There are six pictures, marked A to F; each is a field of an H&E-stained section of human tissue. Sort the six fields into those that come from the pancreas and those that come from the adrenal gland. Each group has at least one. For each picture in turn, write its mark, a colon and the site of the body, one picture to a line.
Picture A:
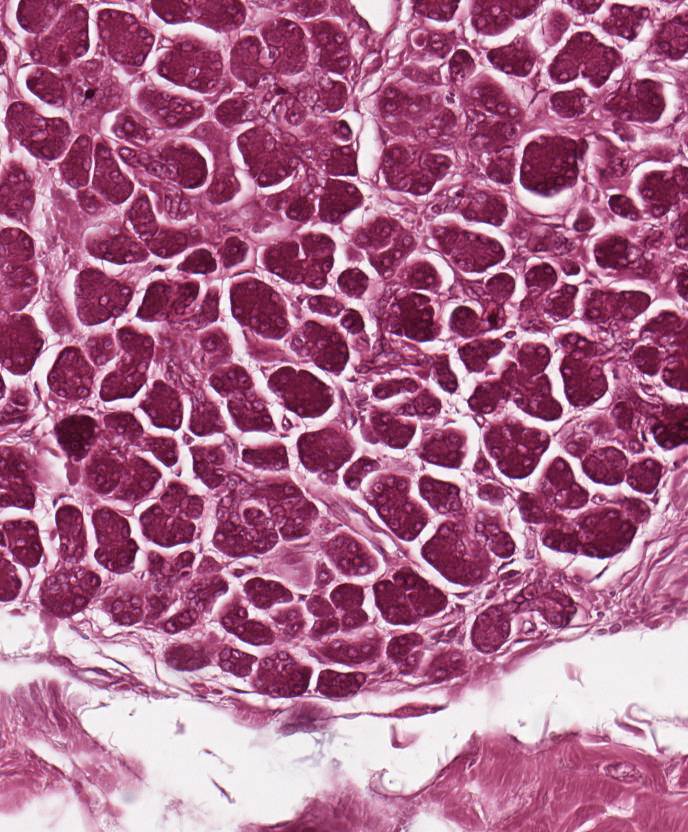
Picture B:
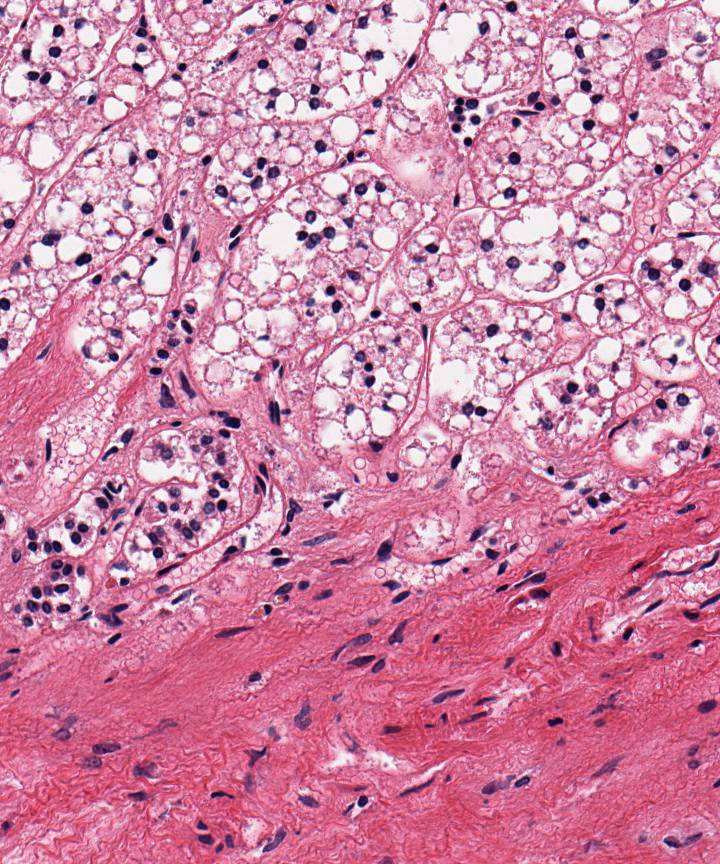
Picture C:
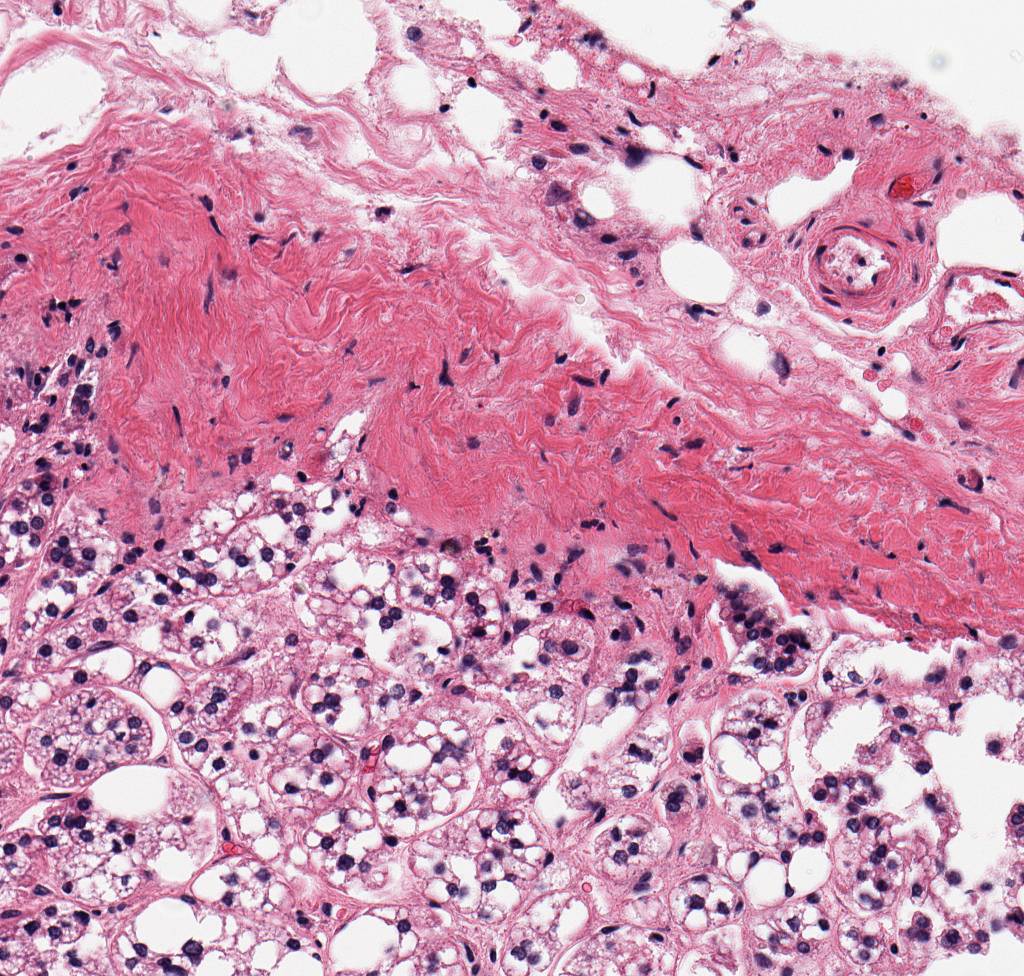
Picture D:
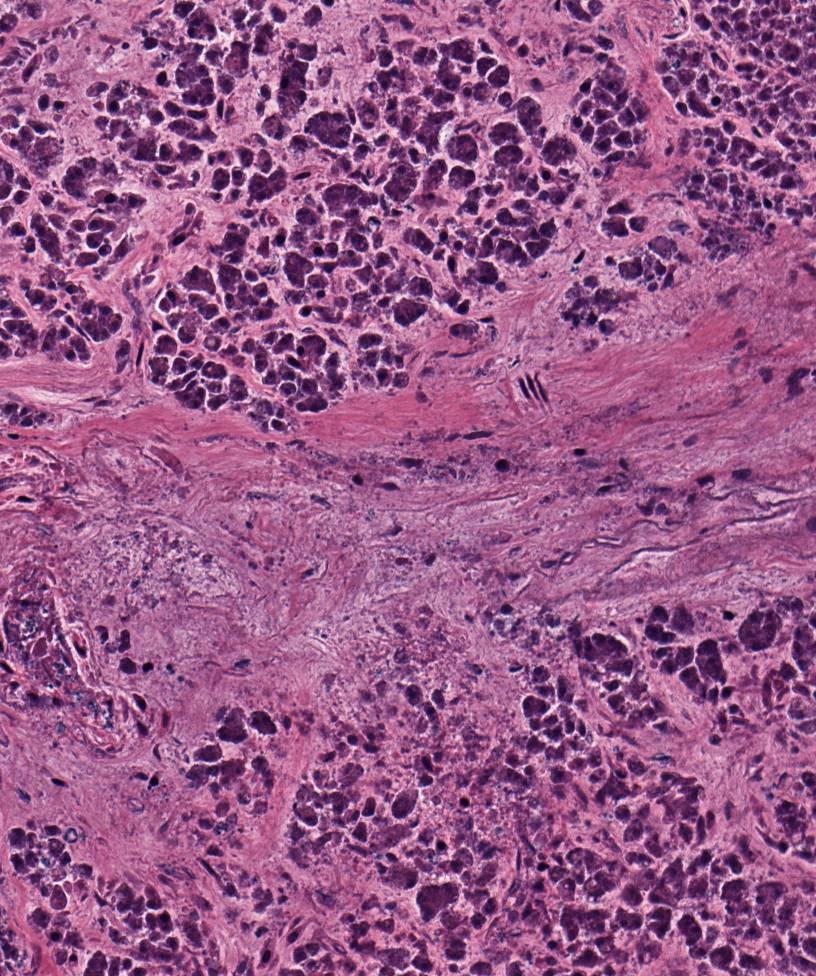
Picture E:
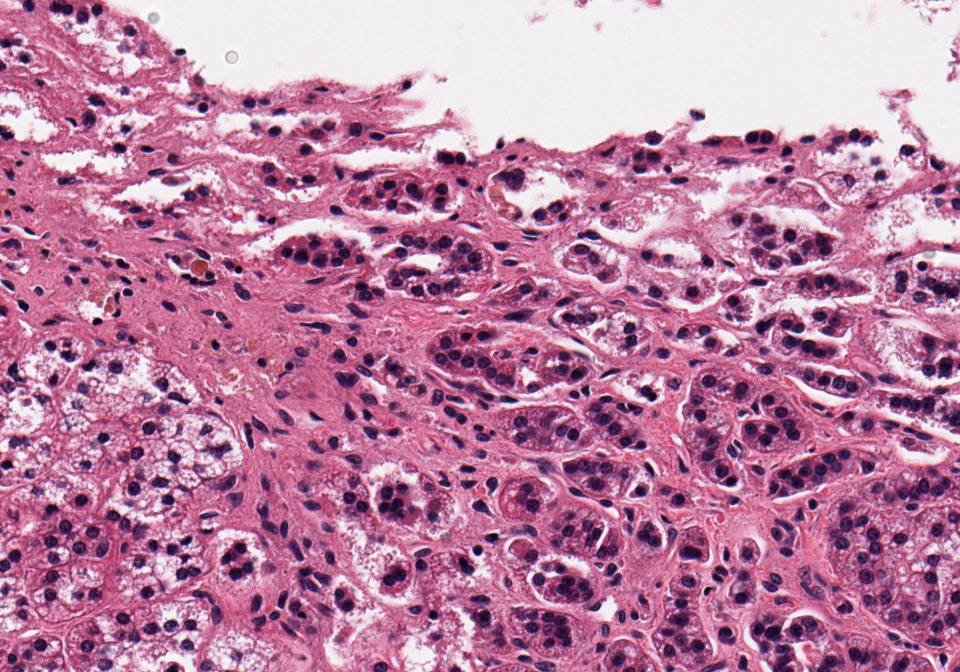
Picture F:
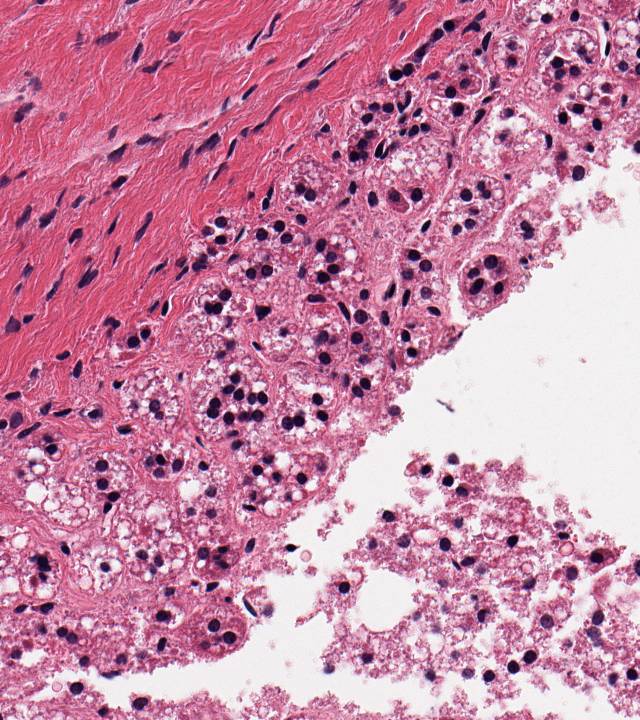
A: pancreas
B: adrenal gland
C: adrenal gland
D: pancreas
E: adrenal gland
F: adrenal gland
